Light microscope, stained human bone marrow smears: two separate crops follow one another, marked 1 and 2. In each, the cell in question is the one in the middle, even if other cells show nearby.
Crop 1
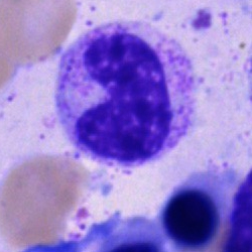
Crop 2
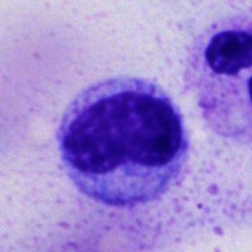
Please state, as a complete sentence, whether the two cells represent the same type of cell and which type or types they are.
Yes, the cells at the centre of the two crops are both metamyelocytes.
